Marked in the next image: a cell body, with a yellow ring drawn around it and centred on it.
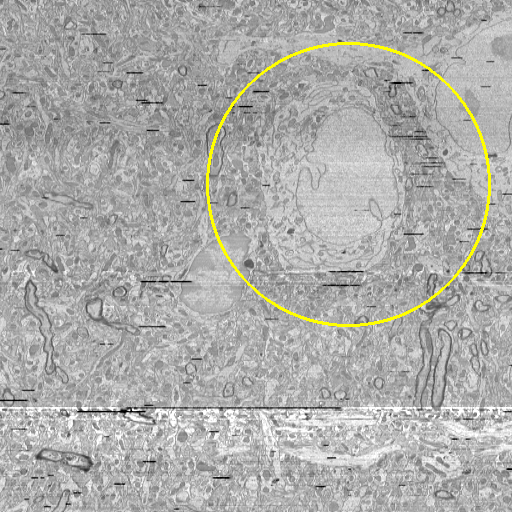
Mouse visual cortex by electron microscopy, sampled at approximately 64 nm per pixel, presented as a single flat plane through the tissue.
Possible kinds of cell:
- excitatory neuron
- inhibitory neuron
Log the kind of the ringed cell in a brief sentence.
The ringed cell body is that of an inhibitory neuron.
